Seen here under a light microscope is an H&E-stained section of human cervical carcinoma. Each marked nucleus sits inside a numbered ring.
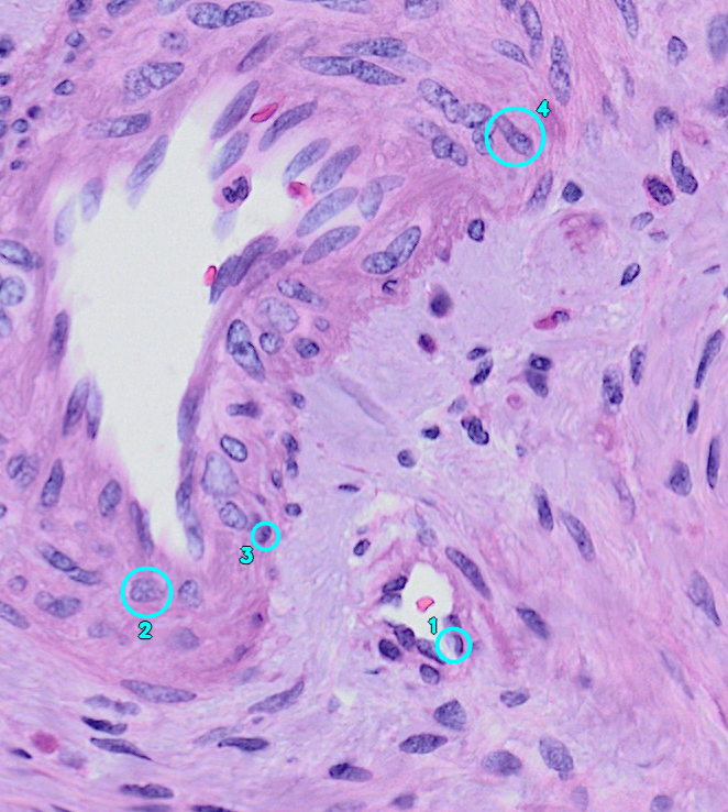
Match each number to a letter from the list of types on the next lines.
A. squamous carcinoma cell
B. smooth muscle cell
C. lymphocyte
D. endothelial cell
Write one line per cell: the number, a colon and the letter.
1: D
2: B
3: B
4: B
